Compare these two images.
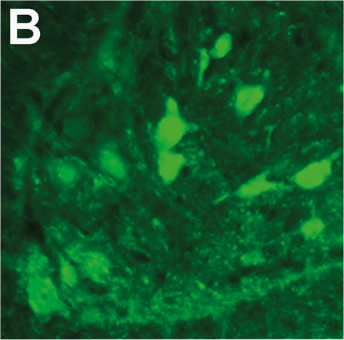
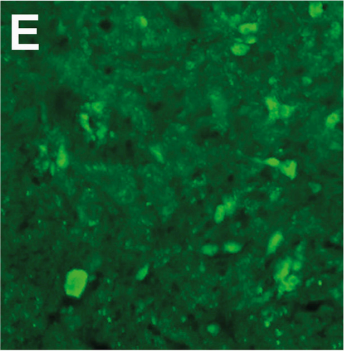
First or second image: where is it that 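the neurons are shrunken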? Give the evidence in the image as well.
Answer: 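Second image: green cell bodies are small and irregular with few processes. First image: green cell bodies are large and polygonal with thick processes.
Hence: the second image.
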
